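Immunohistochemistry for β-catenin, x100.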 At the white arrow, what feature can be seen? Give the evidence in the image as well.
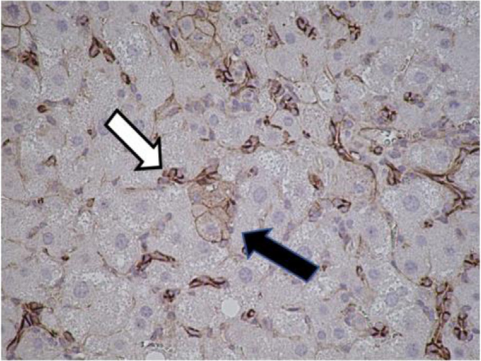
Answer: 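The white arrow marks small, dark brown, elongated cells between large unstained cells. Similar brown cell strands are scattered across the field.
Answer: ductular reaction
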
